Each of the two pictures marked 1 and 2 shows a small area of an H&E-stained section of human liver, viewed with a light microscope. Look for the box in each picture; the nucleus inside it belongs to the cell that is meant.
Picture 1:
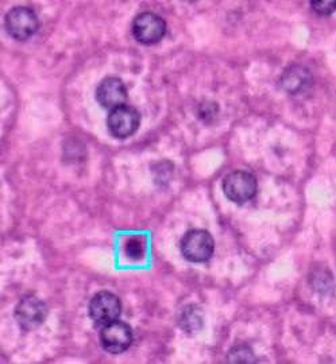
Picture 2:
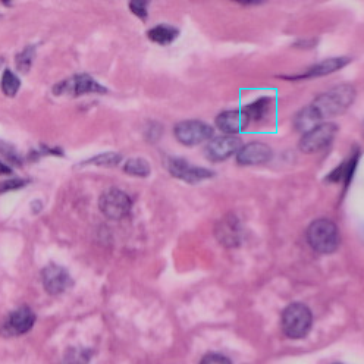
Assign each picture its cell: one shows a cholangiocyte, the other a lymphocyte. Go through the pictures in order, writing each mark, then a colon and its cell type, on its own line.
1: lymphocyte
2: cholangiocyte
